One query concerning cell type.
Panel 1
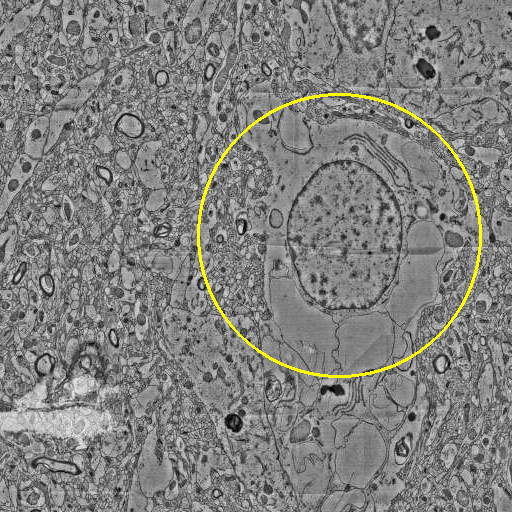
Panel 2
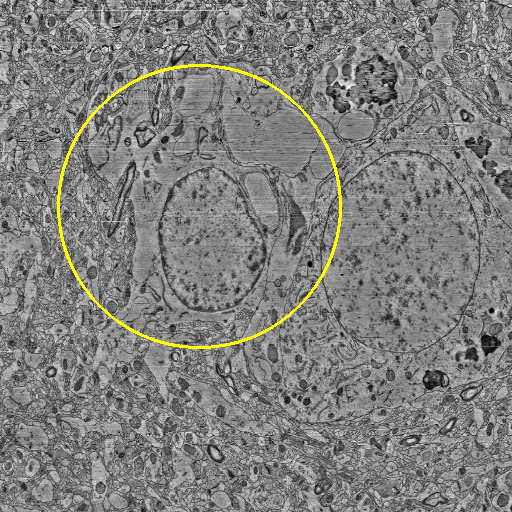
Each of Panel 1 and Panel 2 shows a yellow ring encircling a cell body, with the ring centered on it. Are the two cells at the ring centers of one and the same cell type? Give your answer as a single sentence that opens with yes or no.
Yes, the cell centered in Panel 1 and the one in Panel 2 share a type.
